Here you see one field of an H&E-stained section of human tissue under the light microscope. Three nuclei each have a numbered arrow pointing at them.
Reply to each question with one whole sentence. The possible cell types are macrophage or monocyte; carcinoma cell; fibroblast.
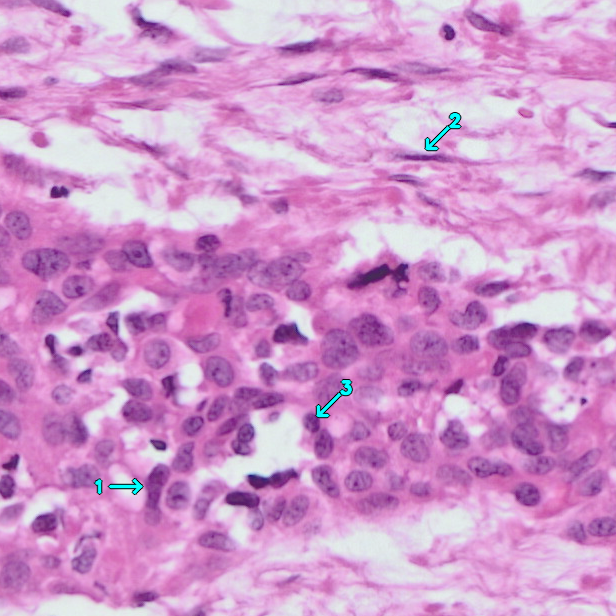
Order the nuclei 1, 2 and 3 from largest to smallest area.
Largest first, the order by area is 1, 2, 3.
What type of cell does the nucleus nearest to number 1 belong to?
Number 1 lies closest to the nucleus of a macrophage or monocyte.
